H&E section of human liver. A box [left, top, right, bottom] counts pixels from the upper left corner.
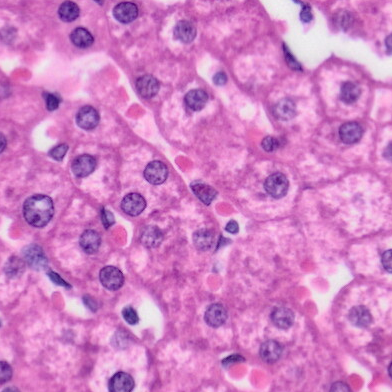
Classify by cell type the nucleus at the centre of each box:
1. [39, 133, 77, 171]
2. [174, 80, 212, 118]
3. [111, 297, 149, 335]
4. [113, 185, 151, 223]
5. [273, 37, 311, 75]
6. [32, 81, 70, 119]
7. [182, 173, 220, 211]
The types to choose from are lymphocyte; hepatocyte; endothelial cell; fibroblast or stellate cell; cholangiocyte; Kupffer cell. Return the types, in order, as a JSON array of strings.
["Kupffer cell", "hepatocyte", "lymphocyte", "hepatocyte", "endothelial cell", "fibroblast or stellate cell", "endothelial cell"]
